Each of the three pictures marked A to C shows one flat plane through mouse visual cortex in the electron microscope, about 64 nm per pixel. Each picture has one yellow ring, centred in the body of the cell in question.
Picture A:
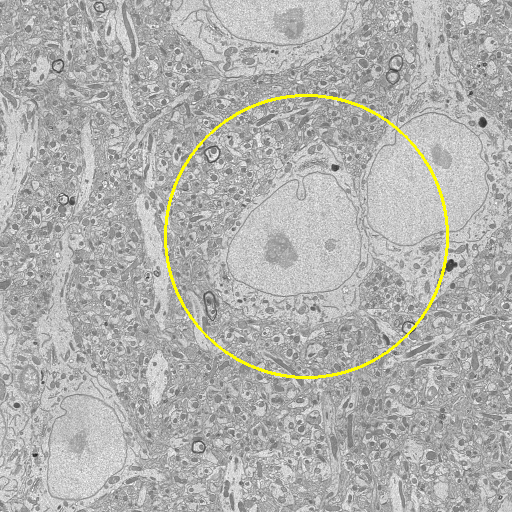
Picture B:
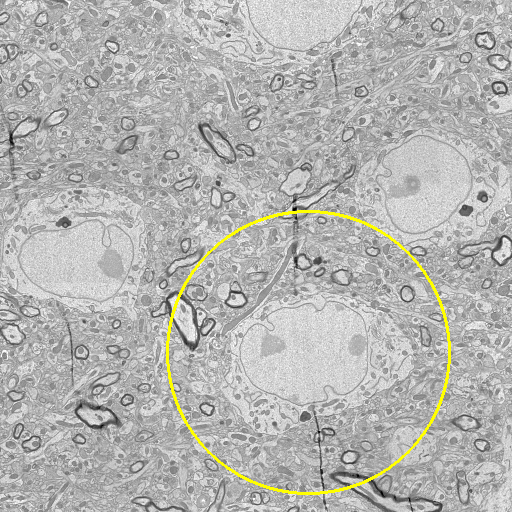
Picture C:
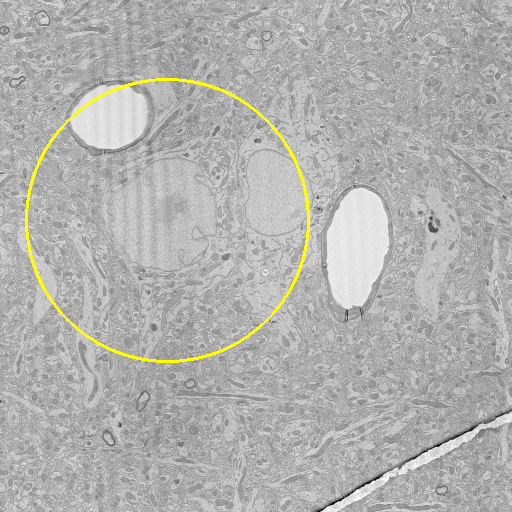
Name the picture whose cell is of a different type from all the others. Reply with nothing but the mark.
C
